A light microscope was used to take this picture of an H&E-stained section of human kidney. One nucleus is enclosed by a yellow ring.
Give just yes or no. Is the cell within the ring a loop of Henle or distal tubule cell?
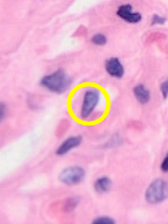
no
